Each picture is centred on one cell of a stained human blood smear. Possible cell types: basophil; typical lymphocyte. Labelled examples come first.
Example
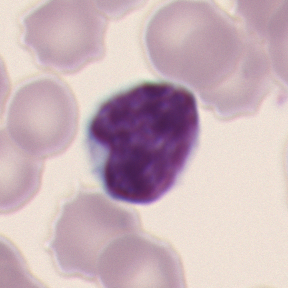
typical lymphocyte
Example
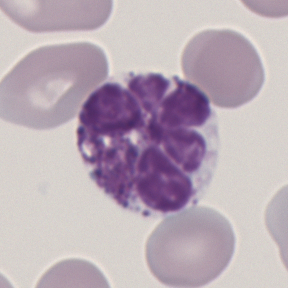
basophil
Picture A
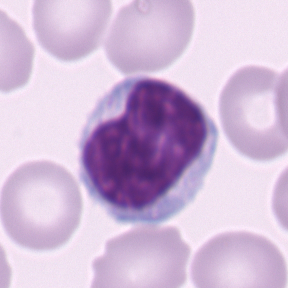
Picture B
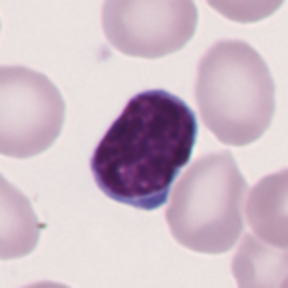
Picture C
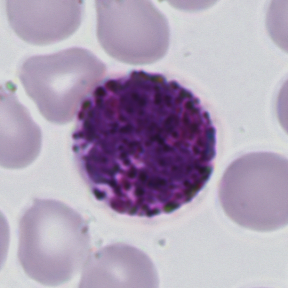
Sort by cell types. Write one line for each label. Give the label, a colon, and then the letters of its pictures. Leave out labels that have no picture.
basophil: C
typical lymphocyte: A, B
